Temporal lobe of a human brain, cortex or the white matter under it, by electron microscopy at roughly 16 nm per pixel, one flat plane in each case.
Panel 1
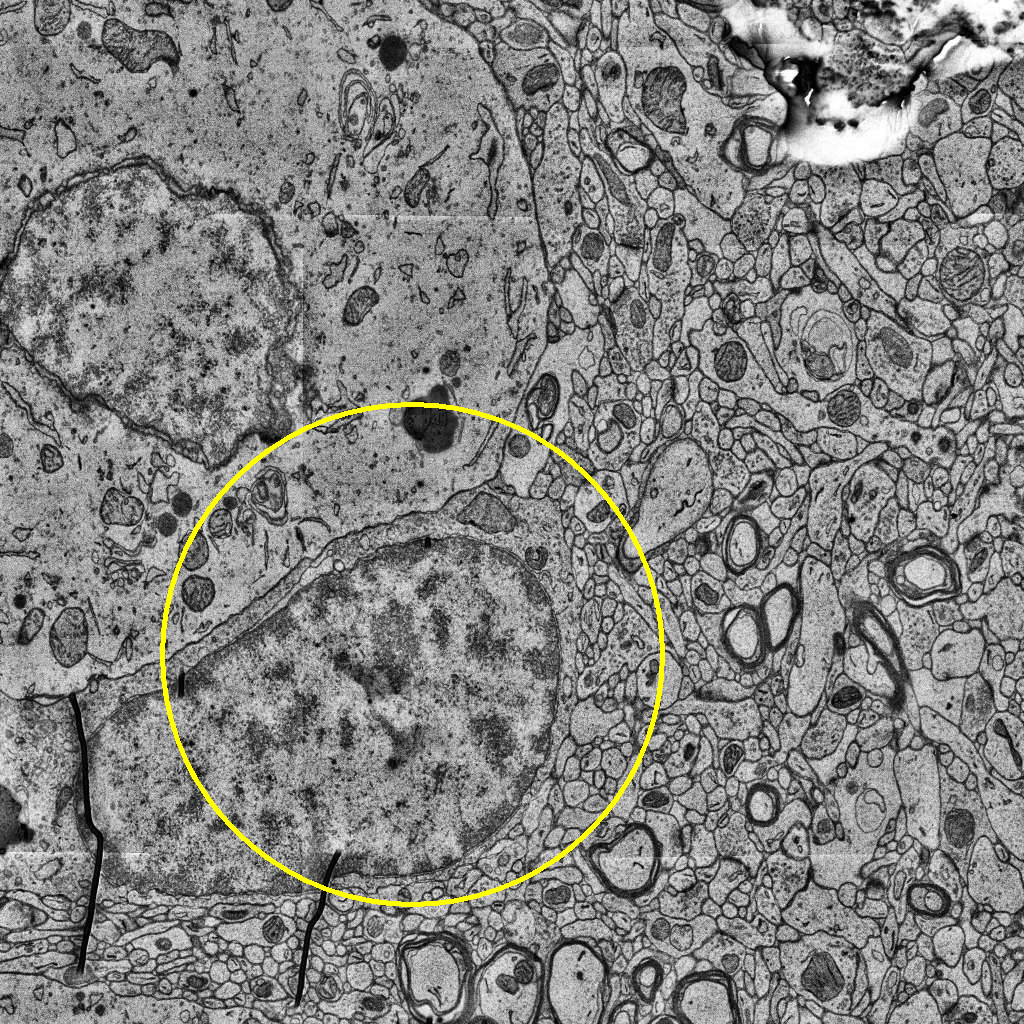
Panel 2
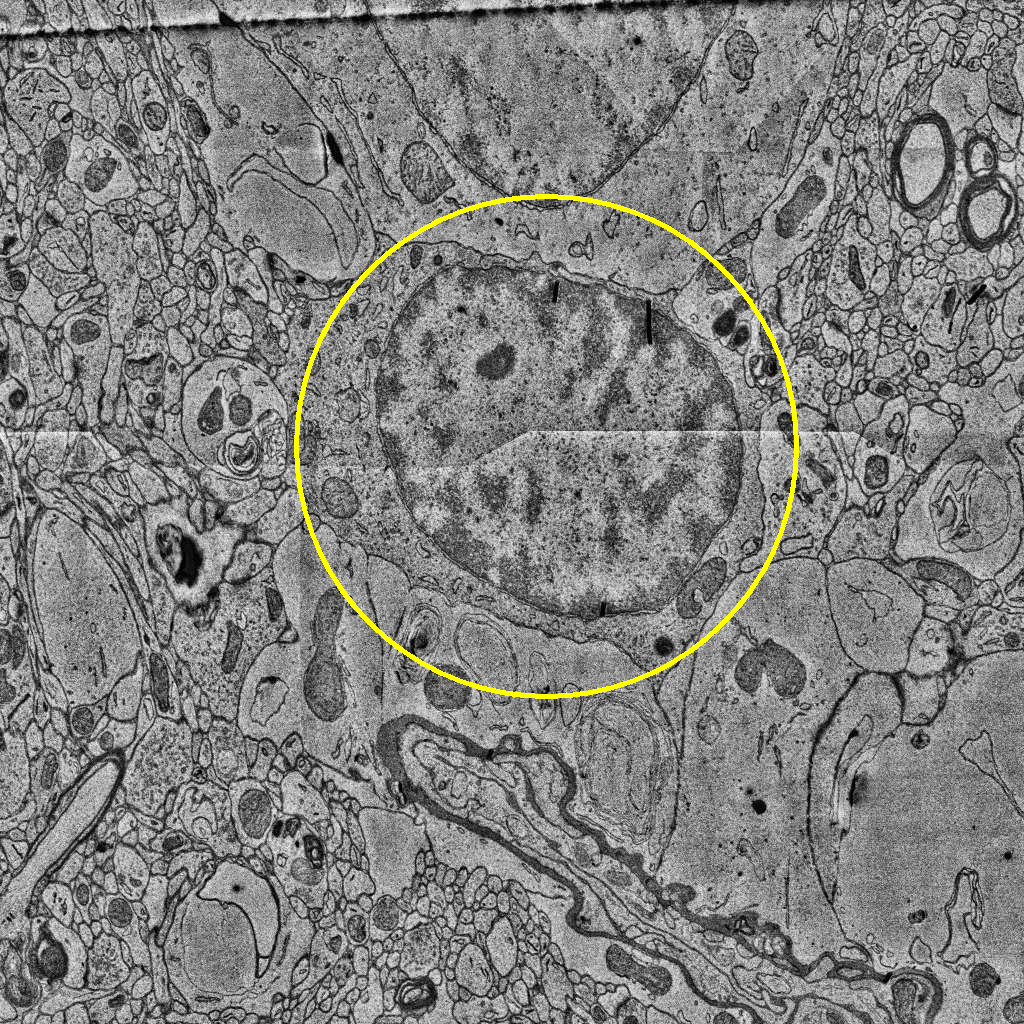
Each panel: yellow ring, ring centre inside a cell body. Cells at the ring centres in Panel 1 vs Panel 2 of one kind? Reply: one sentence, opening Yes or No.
Yes, Panel 1 and Panel 2 have cells of one kind at the ring centres.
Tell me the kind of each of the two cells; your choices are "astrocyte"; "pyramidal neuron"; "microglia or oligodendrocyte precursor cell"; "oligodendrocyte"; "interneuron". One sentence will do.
Each of the two rings surrounds an oligodendrocyte.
